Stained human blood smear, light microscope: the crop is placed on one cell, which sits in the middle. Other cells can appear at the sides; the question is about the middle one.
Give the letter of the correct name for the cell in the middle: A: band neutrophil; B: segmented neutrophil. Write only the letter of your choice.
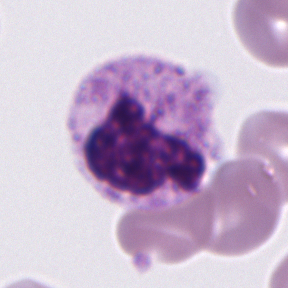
B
